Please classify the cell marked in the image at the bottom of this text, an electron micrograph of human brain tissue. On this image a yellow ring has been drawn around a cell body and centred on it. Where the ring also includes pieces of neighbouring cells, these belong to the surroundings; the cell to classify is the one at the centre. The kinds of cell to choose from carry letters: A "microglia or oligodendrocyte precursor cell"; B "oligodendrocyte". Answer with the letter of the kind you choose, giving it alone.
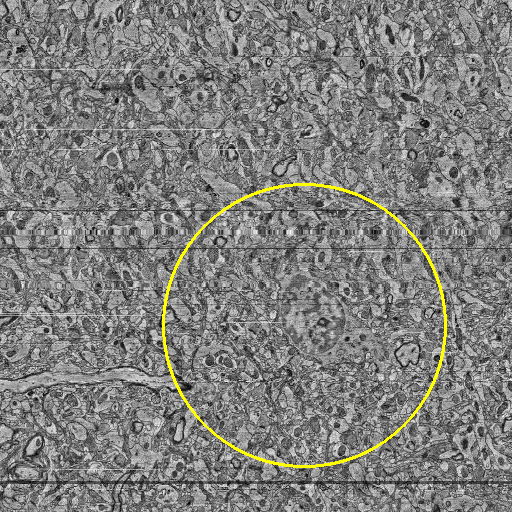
B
